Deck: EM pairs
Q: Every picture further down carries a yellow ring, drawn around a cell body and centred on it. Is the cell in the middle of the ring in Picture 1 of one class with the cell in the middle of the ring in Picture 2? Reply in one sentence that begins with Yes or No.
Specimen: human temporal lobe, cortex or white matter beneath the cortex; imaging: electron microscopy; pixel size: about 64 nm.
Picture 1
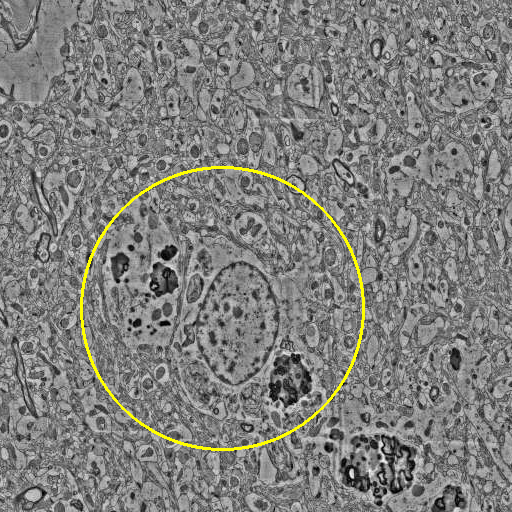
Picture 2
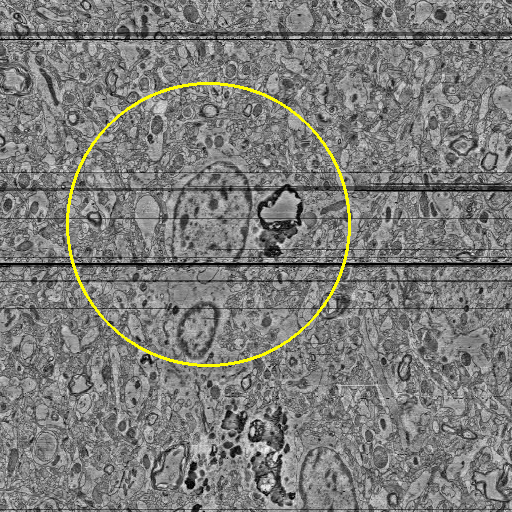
Yes, the cell centred in the ring of Picture 1 and the one in Picture 2 belong to one class.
